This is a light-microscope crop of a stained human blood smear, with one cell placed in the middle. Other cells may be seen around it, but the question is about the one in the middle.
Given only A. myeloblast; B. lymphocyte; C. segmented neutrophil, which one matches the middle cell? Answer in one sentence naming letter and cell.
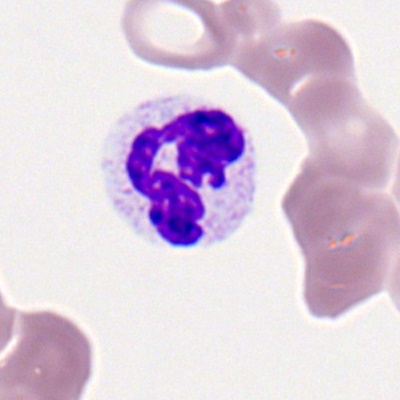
The central cell in this crop is a segmented neutrophil, corresponding to option C, the correct option.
